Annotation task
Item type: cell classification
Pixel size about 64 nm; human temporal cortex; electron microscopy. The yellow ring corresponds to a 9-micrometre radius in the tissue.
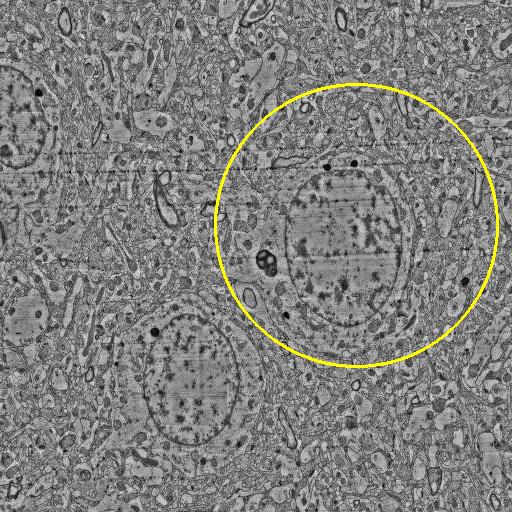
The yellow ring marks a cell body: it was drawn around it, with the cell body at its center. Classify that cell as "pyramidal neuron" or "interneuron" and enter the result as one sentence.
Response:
The ring's center falls on a pyramidal neuron.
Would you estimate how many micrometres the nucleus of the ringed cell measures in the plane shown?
In this plane the nucleus spans approximately 10 by 8 micrometers.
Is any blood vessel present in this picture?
No, no vessel appears in the picture.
